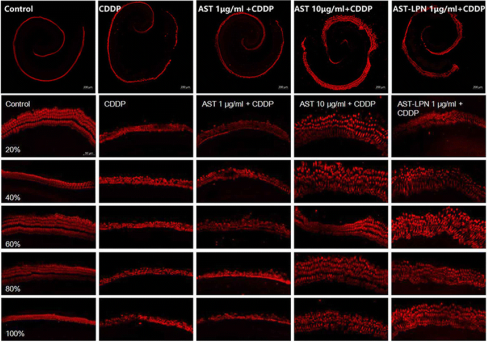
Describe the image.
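The top row shows the whole explant coiled as a spiral, with the red band of cells following the turns. In the magnified views of the left column, the hair cells stand in regular, closely packed parallel rows. In the neighbouring columns the rows are thinned and irregular, with gaps where cells are missing, most evidently toward the bottom rows. Some columns show denser, more intact rows than others.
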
